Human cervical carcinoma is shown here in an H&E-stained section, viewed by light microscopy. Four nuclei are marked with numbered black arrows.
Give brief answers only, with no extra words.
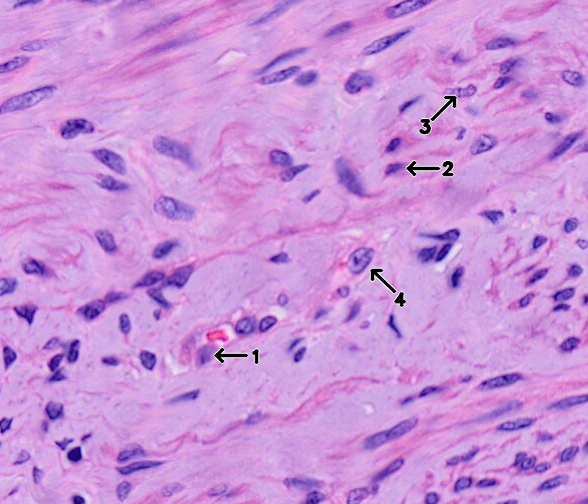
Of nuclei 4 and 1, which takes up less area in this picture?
1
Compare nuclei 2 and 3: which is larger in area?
3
